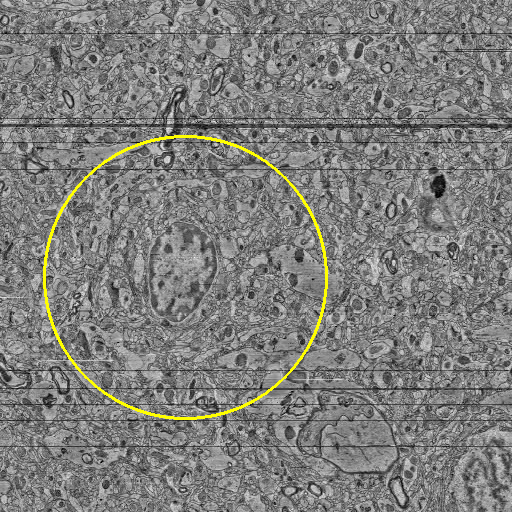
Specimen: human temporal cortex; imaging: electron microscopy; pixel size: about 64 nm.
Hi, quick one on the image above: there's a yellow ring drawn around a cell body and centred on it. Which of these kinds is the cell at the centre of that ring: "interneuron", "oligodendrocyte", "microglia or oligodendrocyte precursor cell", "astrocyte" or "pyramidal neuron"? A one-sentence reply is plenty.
The cell at the centre of the ring is a microglial cell or oligodendrocyte precursor cell.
